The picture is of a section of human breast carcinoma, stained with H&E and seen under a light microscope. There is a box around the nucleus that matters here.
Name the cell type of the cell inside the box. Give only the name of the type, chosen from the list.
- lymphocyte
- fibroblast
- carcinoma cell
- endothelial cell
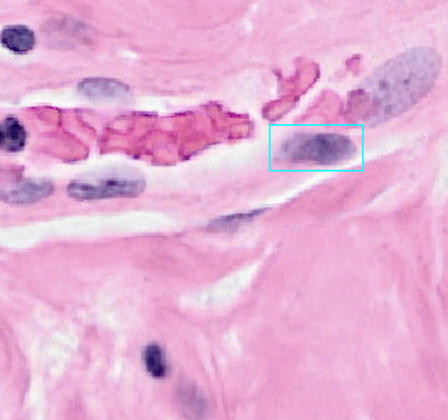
endothelial cell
